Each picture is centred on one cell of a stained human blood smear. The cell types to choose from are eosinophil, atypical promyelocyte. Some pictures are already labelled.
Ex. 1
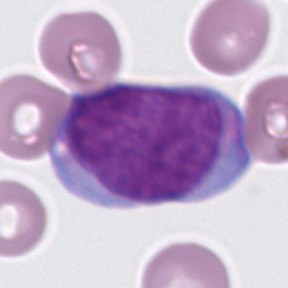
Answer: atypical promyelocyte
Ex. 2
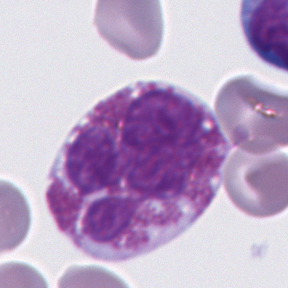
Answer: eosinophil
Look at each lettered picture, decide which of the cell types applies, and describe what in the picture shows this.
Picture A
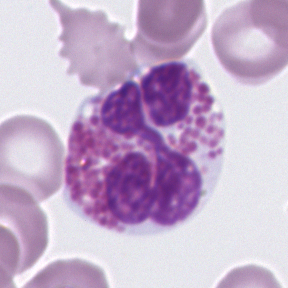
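Answer: eosinophil. The cytoplasm showing between the granules is pale and almost colourless.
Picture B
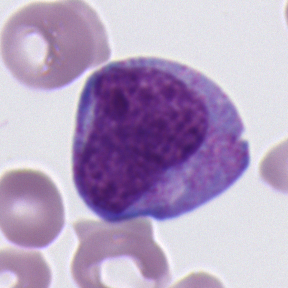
Answer: atypical promyelocyte. Fine pink-purple granules are scattered through the cytoplasm.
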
